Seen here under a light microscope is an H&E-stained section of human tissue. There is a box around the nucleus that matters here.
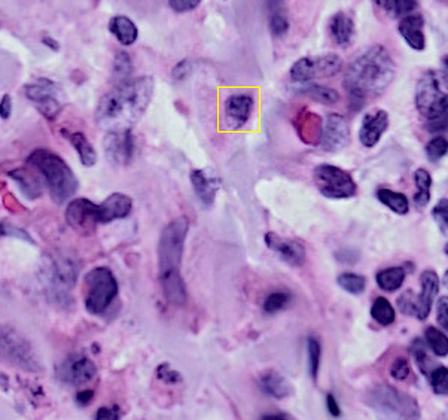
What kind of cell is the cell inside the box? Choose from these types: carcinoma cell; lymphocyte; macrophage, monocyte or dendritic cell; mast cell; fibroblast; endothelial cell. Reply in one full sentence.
The identity of the cell inside the box: it is a mast cell.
